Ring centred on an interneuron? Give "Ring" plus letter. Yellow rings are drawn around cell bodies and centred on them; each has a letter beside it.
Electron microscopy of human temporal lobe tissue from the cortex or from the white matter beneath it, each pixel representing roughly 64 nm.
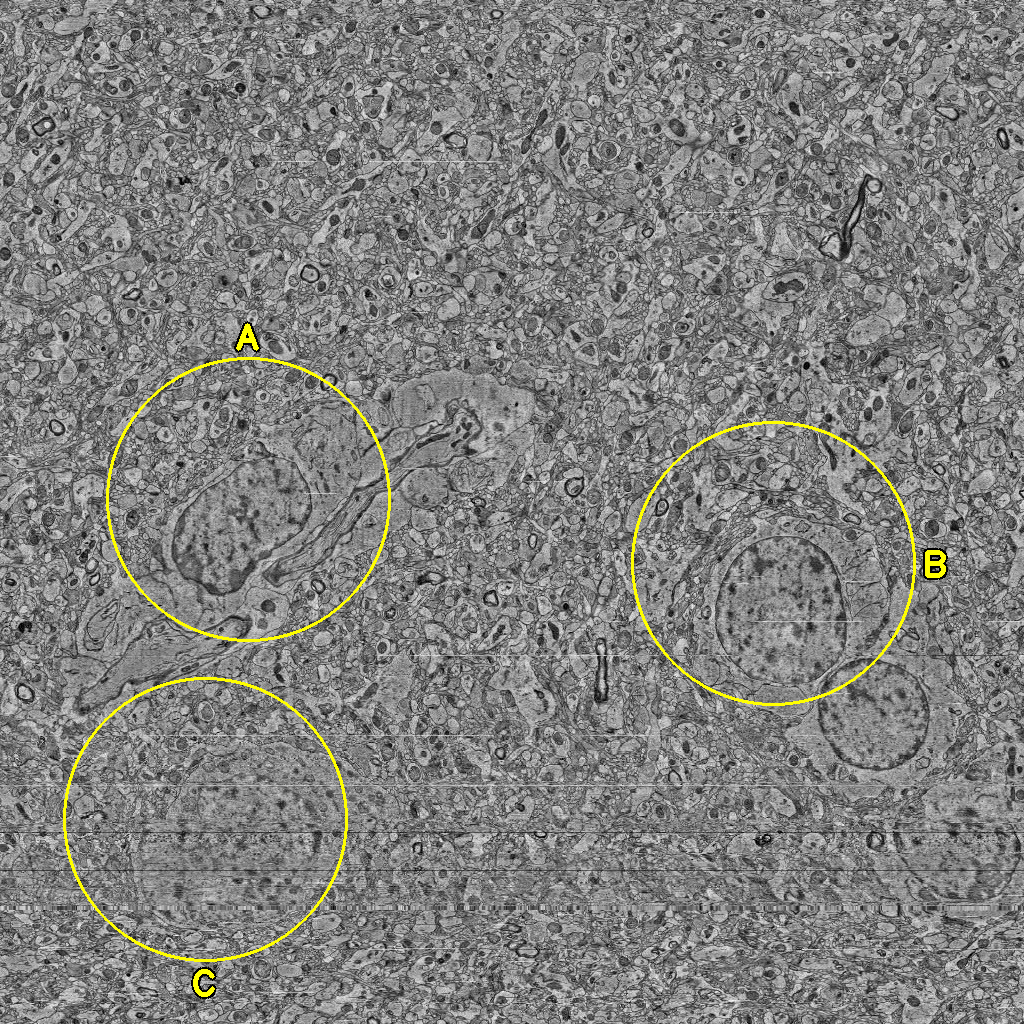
Ring C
